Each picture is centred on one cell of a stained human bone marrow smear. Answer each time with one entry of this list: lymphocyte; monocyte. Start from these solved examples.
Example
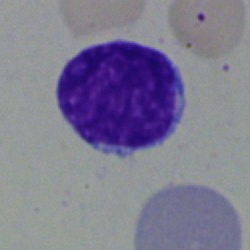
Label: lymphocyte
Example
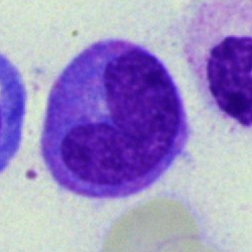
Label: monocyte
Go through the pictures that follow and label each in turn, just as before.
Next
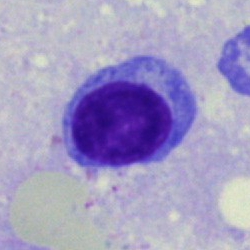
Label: lymphocyte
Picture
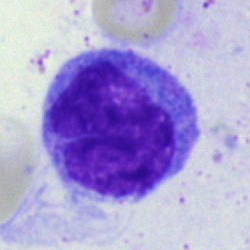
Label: monocyte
